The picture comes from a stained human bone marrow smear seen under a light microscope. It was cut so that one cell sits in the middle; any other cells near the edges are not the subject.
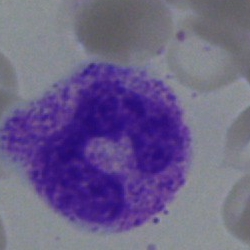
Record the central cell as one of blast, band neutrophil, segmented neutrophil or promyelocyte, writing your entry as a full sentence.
At the middle of the frame sits a band neutrophil.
